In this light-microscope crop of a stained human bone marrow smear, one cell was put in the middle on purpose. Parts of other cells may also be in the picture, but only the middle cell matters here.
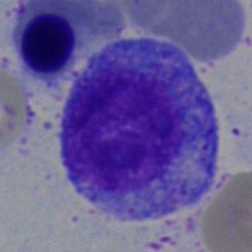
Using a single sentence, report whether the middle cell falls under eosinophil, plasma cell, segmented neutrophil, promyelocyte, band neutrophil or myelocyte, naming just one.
The crop centres on a single cell, and that cell is a promyelocyte.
